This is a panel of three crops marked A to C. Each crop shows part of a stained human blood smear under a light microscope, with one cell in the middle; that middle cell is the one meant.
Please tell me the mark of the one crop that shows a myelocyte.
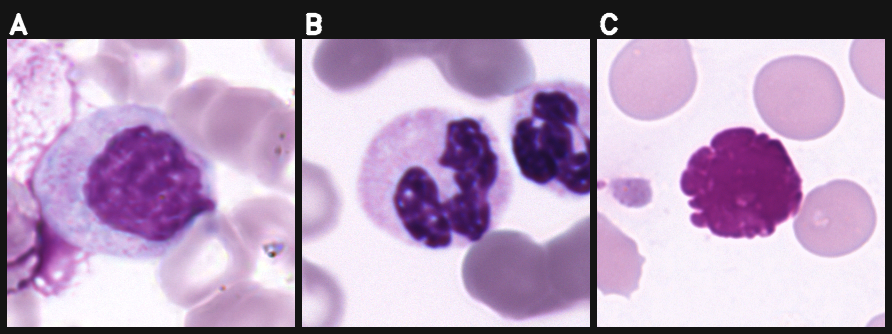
A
